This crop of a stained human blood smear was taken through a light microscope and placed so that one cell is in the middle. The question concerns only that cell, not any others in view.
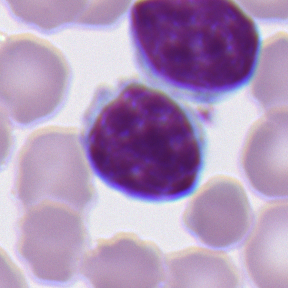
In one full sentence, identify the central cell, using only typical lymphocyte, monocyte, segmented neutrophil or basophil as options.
The centrally positioned cell in the crop represents a typical lymphocyte.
